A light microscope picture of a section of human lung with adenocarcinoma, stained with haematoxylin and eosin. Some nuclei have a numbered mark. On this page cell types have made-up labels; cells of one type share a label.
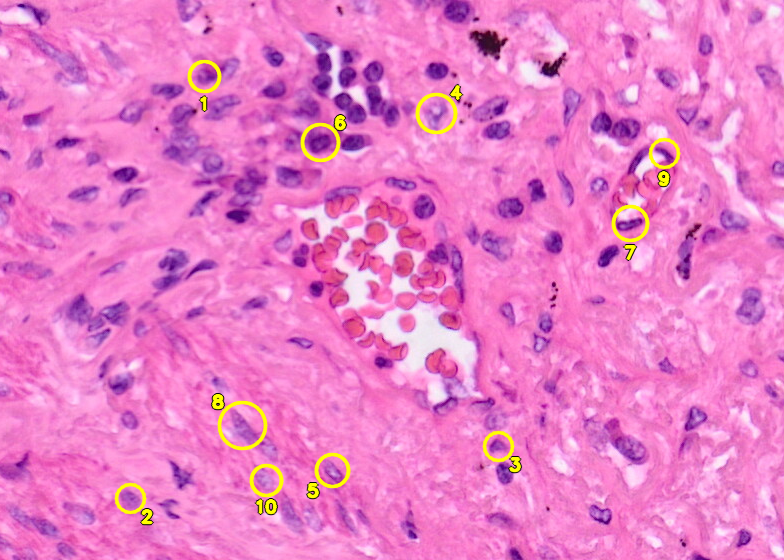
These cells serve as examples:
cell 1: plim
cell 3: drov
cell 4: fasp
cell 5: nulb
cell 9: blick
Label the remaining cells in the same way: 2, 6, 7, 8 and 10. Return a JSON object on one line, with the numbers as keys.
{"2": "nulb", "6": "plim", "7": "blick", "8": "nulb", "10": "nulb"}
